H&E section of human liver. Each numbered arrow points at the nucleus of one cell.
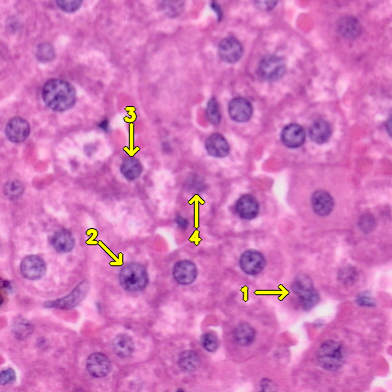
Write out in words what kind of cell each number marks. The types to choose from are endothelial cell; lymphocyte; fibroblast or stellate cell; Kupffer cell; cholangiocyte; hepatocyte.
Cell 1 is a Kupffer cell. Cells 2, 3 and 4 are hepatocytes.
